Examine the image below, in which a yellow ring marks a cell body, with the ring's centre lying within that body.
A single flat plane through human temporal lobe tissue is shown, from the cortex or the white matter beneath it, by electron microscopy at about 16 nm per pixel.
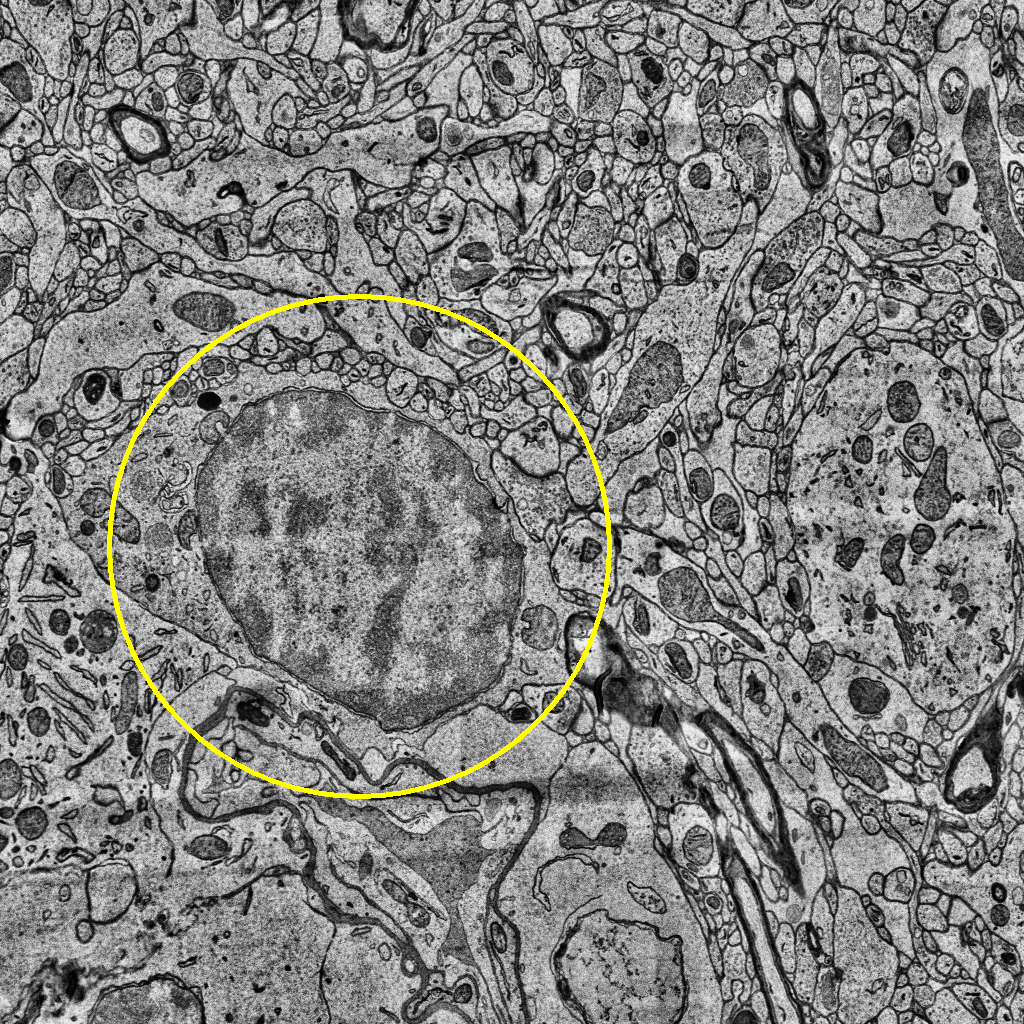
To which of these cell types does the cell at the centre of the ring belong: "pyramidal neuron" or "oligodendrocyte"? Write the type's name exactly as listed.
oligodendrocyte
